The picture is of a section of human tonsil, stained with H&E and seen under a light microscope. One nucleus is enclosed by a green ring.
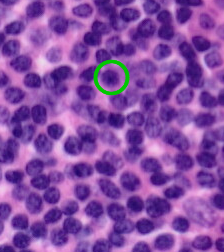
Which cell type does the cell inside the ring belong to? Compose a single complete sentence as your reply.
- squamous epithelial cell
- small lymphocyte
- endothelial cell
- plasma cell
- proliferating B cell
With respect to cell type, the cell inside the ring is a small lymphocyte.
